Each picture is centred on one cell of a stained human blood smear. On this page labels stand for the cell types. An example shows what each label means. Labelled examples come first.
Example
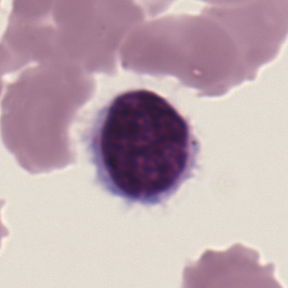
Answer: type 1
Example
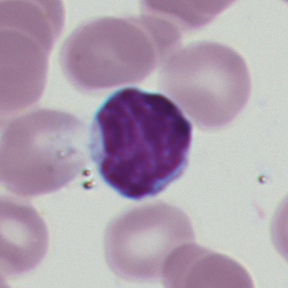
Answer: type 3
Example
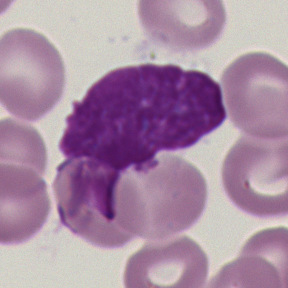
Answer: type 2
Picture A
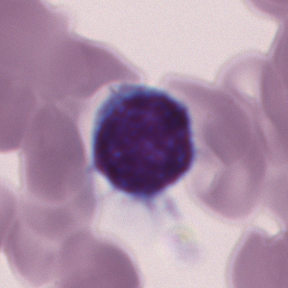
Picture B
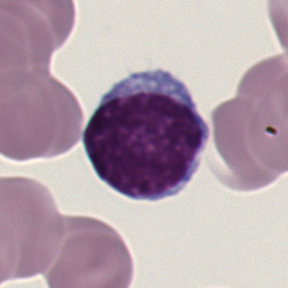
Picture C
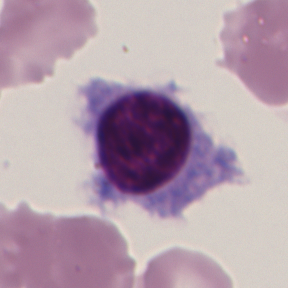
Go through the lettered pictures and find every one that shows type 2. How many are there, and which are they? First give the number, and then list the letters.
0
